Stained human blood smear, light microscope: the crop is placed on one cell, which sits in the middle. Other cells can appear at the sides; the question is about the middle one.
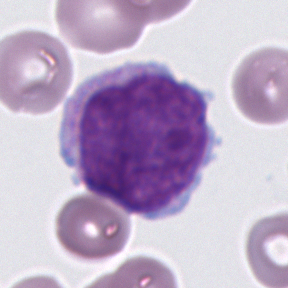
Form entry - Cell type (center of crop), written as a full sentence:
The cell featured at the centre of this crop is an atypical promyelocyte.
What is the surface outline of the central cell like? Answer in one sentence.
Irregular and not smooth, the cell boundary is ragged or drawn out into projections.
